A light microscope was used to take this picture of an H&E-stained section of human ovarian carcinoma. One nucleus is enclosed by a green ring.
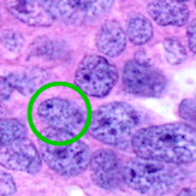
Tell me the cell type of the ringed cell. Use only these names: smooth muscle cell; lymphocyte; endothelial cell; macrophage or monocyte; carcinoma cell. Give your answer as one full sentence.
Typologically, the ringed cell is a carcinoma cell in this section.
